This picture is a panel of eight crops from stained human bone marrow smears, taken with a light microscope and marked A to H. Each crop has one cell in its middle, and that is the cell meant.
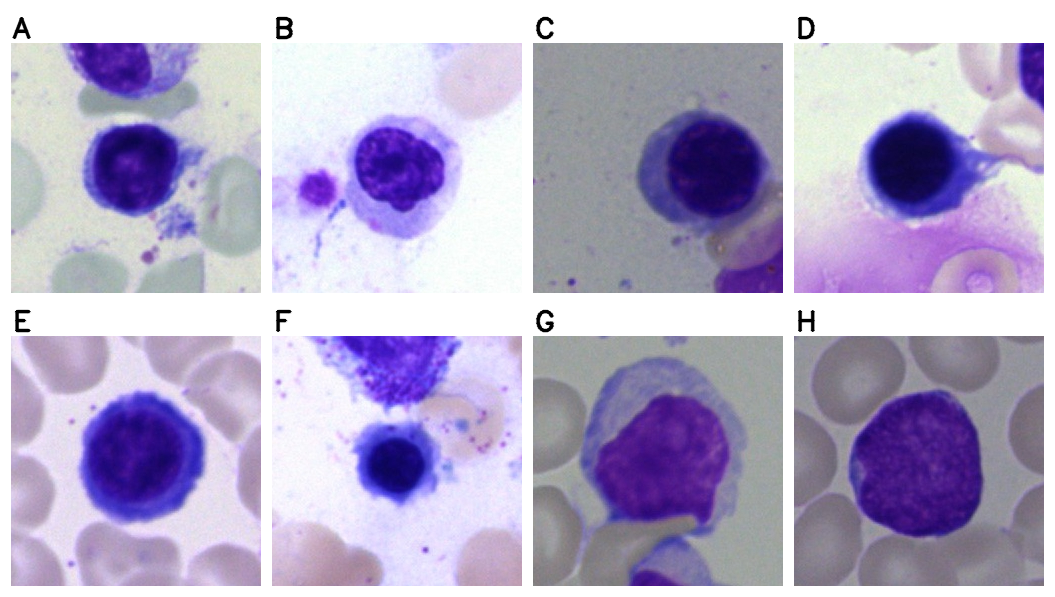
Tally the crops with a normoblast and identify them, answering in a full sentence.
To sum up, four crops show normoblasts: B, C, D and F.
